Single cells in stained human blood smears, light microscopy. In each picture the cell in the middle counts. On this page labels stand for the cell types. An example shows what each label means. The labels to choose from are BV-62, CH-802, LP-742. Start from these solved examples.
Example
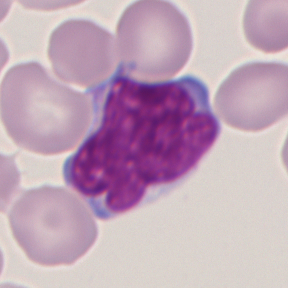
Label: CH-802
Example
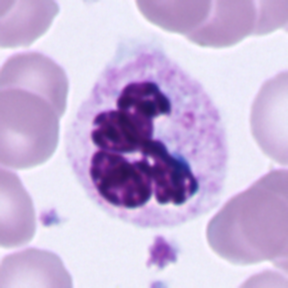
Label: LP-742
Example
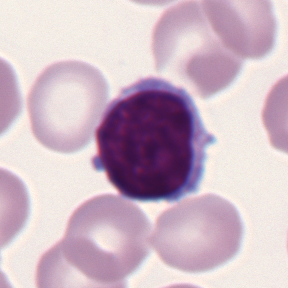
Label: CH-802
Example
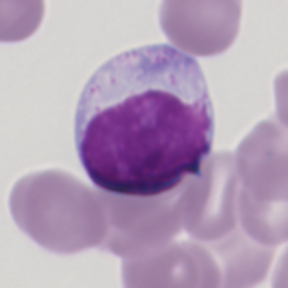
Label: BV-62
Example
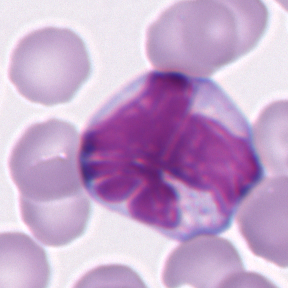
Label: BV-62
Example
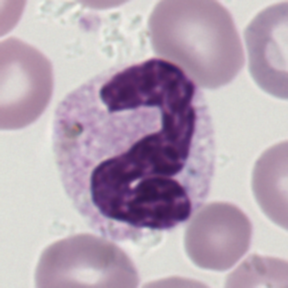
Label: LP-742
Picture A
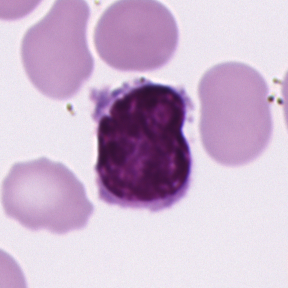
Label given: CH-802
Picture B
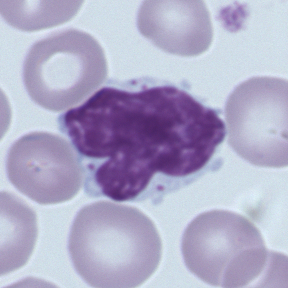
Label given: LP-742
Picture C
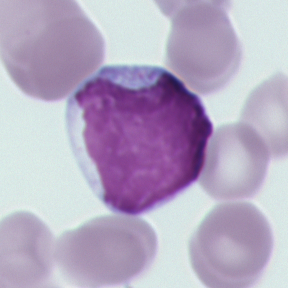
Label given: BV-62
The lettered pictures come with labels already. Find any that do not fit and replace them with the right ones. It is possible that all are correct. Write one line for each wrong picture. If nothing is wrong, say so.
Wrong: B (LP-742); correct: BV-62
